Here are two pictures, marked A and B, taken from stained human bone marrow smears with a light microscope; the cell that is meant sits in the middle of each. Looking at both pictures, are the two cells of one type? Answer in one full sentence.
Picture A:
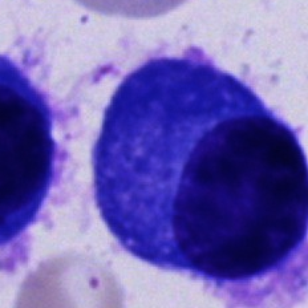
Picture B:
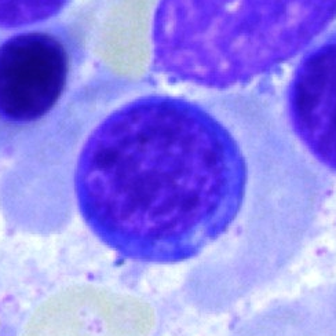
No; the cell in picture A is a plasma cell, while the one in picture B is a lymphocyte.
